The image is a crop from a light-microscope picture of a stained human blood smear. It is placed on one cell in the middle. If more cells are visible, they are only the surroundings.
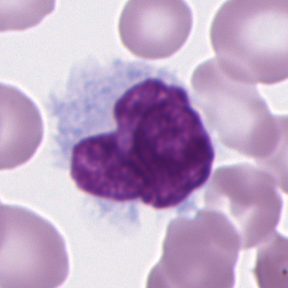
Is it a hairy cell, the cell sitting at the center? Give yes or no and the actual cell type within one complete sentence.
Yes, the cell at the very centre of the crop is a hairy cell.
